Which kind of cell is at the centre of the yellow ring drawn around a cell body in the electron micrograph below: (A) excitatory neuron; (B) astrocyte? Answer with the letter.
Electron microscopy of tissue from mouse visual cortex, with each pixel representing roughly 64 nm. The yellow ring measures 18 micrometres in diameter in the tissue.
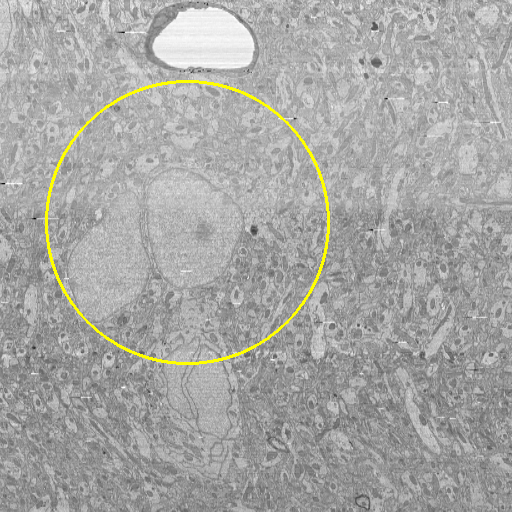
B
